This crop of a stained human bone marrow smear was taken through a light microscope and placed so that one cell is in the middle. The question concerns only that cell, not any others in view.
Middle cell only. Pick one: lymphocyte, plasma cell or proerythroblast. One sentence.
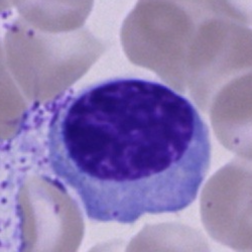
What sits at the centre of this crop is a plasma cell.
